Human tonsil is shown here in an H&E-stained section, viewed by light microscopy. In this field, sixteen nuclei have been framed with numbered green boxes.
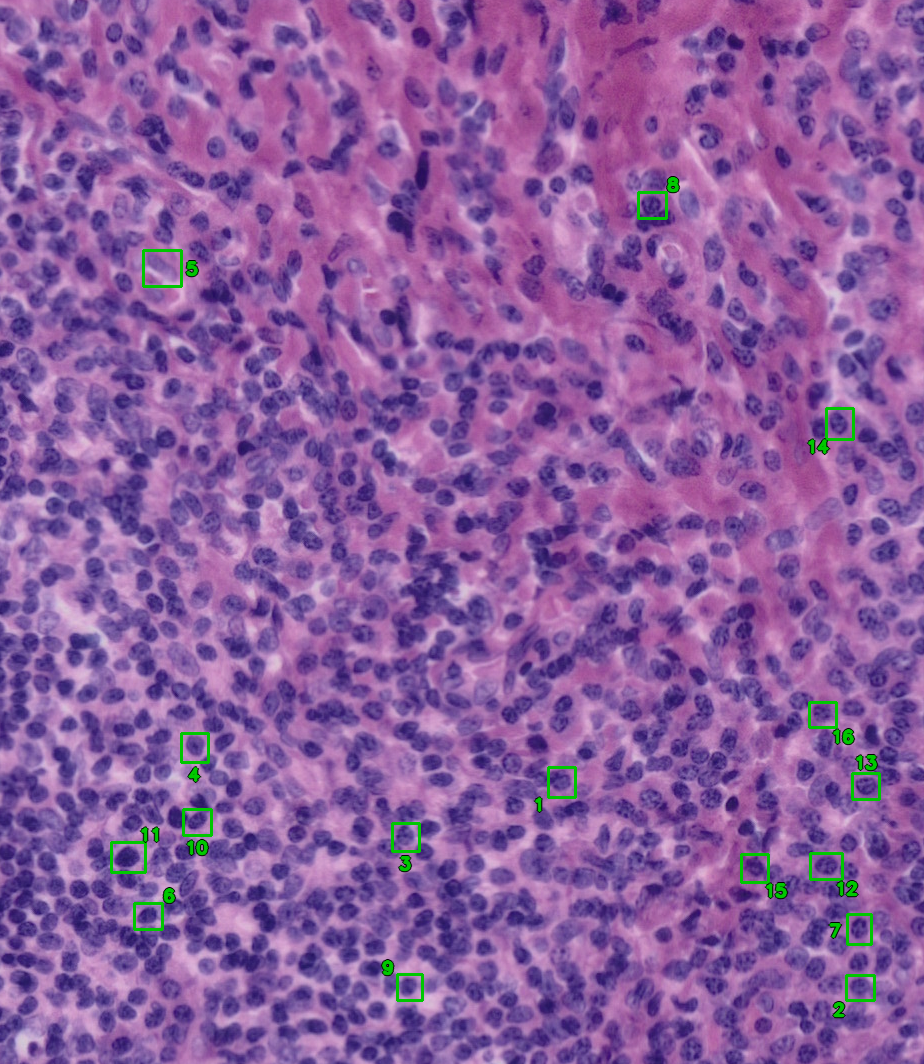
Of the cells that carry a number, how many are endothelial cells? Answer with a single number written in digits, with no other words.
1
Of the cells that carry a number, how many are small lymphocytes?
6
